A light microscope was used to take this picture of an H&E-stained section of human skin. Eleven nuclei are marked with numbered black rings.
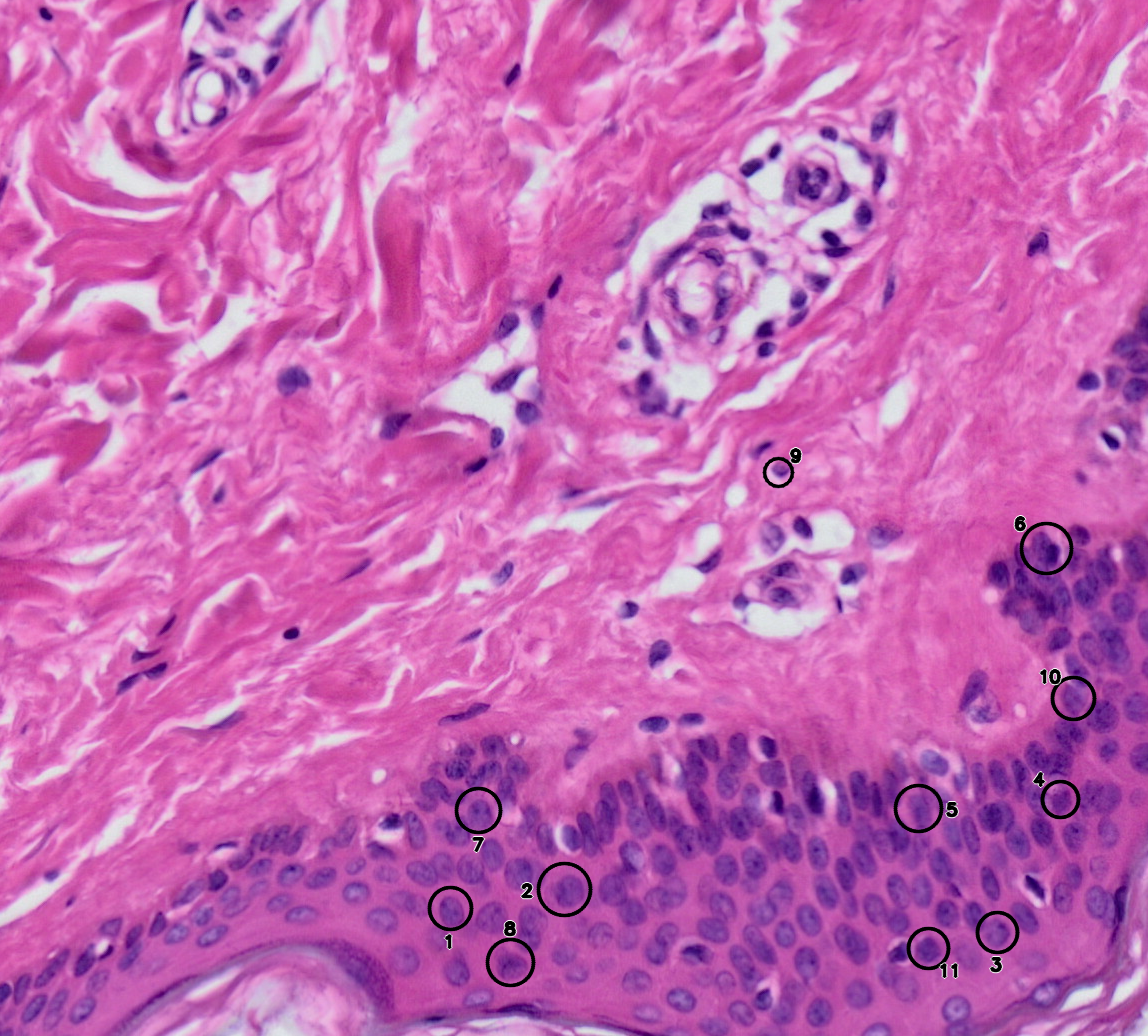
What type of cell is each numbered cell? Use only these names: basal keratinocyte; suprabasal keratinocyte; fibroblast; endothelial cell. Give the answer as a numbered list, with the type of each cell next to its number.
1. suprabasal keratinocyte
2. suprabasal keratinocyte
3. suprabasal keratinocyte
4. basal keratinocyte
5. basal keratinocyte
6. basal keratinocyte
7. basal keratinocyte
8. suprabasal keratinocyte
9. fibroblast
10. basal keratinocyte
11. suprabasal keratinocyte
